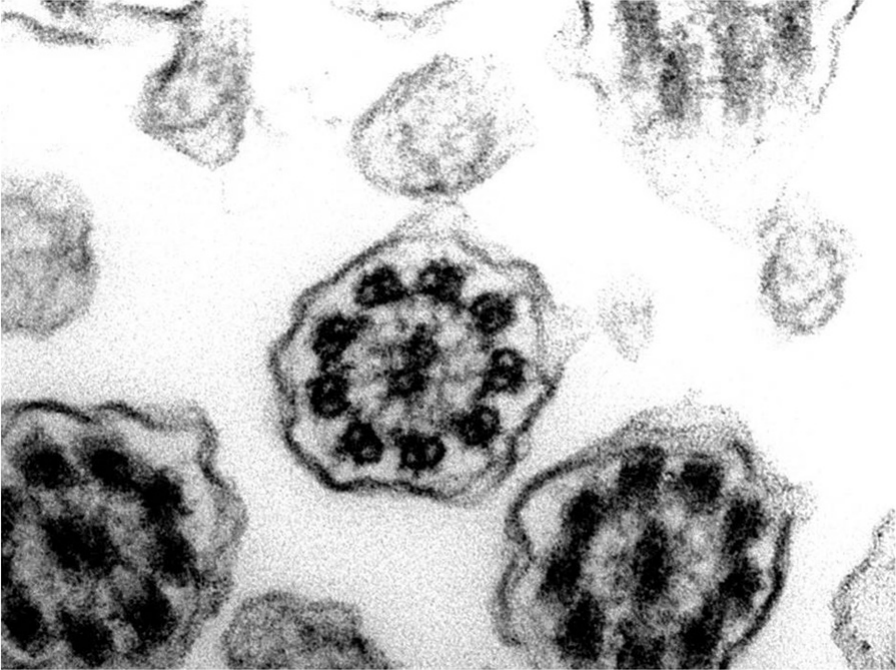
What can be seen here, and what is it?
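The clearest one sits in the middle. It is a round profile wrapped in a thin, slightly wavy membrane. Inside it, nine dark paired tubules form a ring just under the membrane, and a pair of tubules lies at the centre, giving the classic nine-plus-two pattern of the ciliary core. Around it lie other ciliary profiles, some cut obliquely so that their tubules appear as dark streaks rather than rings. There are also paler, fuzzy membrane-bound profiles scattered in the lighter background.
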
